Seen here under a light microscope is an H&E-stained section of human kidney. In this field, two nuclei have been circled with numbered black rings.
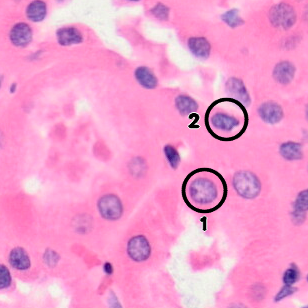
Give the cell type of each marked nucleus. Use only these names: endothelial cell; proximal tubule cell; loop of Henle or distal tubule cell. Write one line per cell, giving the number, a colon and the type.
1: proximal tubule cell
2: loop of Henle or distal tubule cell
